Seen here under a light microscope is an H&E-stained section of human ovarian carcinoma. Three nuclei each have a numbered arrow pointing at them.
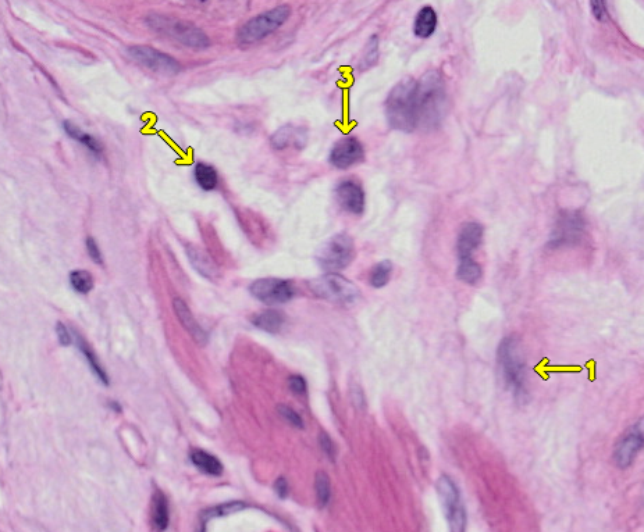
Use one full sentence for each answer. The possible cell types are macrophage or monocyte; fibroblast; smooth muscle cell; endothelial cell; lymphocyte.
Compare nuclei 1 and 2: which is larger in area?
The larger nucleus is 1, at roughly 2.5 times the area of 2.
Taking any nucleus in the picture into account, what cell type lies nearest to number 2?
The nearest nucleus to number 2 belongs to a macrophage or monocyte.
